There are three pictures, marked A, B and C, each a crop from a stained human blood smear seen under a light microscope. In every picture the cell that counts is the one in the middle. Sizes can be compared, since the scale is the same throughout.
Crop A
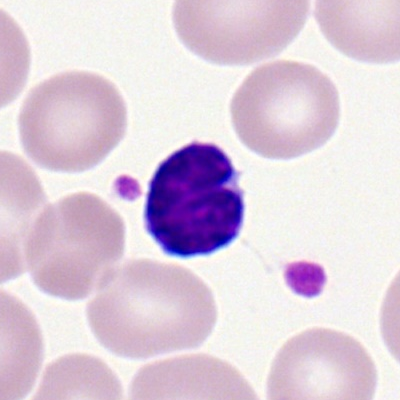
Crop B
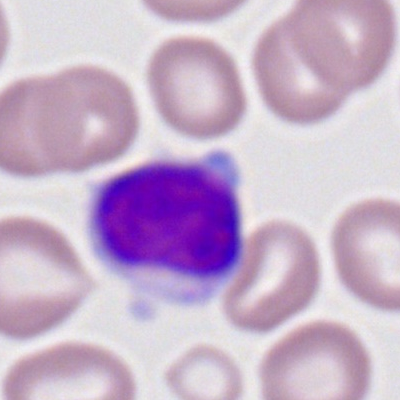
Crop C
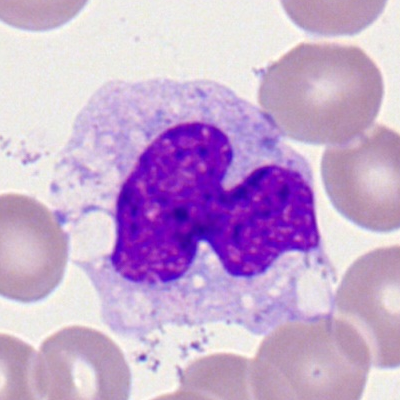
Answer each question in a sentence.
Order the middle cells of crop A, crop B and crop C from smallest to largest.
The order is A, B, C, beginning with the smallest.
